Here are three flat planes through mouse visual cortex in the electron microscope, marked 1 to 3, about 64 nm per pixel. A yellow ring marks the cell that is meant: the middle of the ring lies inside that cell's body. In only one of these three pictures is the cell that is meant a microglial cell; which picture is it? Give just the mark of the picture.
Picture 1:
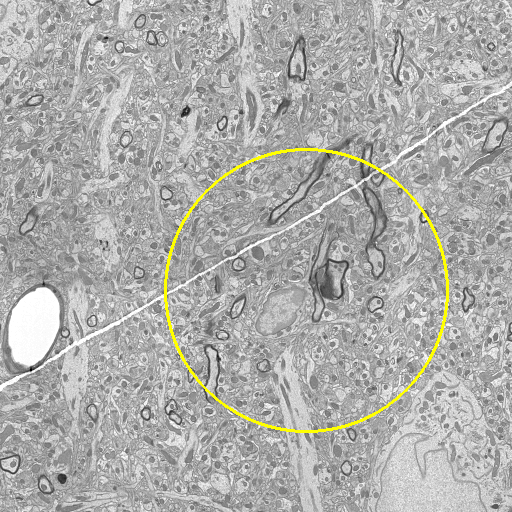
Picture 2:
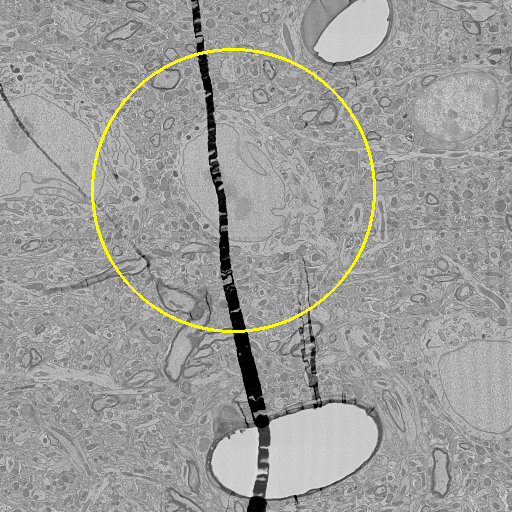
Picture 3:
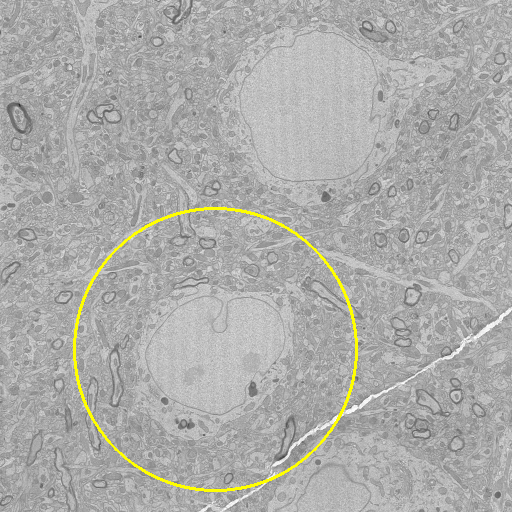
1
